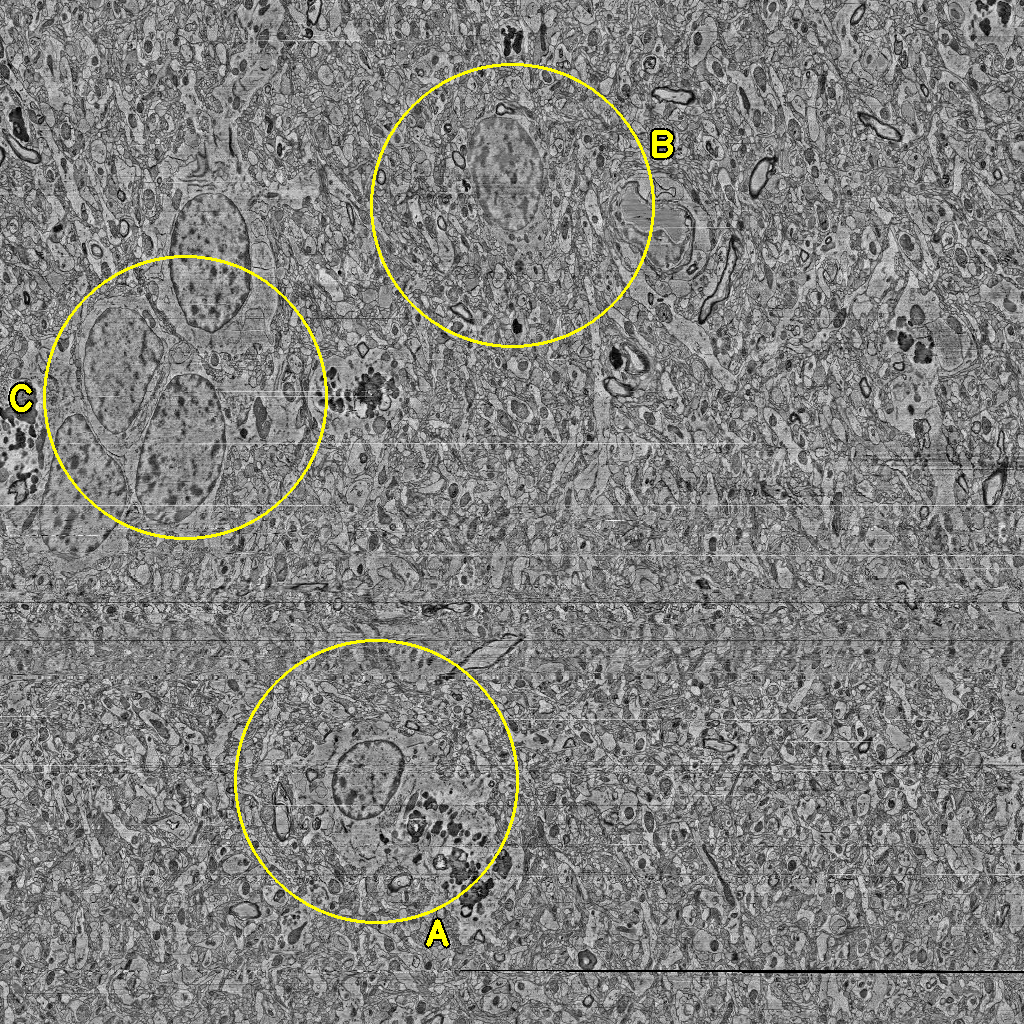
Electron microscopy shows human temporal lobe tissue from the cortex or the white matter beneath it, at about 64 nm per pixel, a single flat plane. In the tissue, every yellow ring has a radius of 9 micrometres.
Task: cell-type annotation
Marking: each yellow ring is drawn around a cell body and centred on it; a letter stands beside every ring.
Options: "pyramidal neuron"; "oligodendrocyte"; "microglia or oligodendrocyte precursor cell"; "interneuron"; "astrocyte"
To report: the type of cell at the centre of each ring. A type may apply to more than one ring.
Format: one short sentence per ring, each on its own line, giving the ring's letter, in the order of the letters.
Ring A is centred on an astrocyte.
Ring B is centred on an oligodendrocyte.
Ring C is centred on an astrocyte.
